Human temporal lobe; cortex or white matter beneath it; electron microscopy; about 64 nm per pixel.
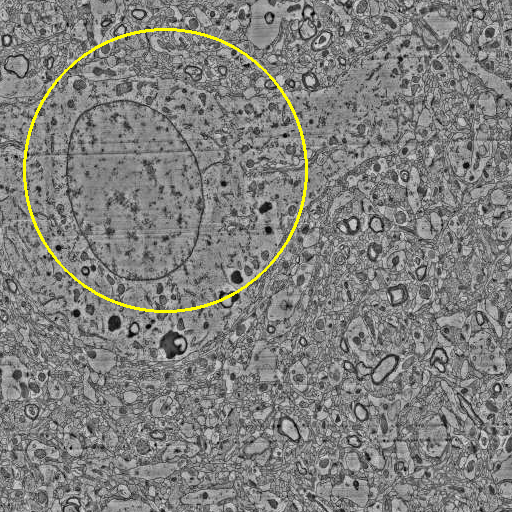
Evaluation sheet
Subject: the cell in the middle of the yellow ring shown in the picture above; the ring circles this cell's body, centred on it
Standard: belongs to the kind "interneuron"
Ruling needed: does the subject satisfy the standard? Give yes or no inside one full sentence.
No, the cell in the middle of the ring in the picture above belongs to some other kind.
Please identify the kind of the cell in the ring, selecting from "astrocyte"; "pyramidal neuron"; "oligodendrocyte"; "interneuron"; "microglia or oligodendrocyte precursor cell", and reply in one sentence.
Instead, the ring in this picture marks a pyramidal neuron.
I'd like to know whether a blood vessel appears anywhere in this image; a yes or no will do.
No, none appears.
